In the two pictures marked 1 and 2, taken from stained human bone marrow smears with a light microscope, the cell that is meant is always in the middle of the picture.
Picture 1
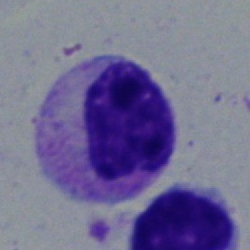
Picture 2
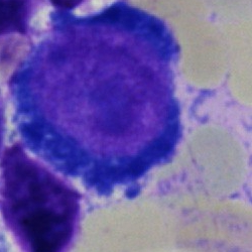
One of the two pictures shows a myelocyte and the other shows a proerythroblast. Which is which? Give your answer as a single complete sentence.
Picture 2 shows a proerythroblast, while picture 1 shows a myelocyte.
